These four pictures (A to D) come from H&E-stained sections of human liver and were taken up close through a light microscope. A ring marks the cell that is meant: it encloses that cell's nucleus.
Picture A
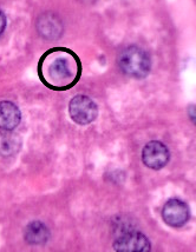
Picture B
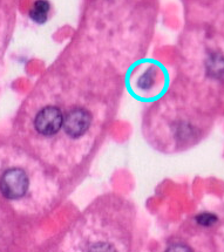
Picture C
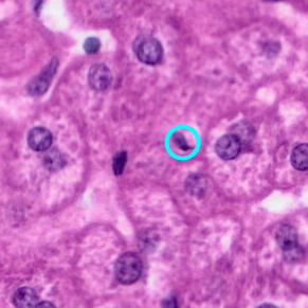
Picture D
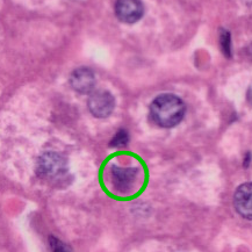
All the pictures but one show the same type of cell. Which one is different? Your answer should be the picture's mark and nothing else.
B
